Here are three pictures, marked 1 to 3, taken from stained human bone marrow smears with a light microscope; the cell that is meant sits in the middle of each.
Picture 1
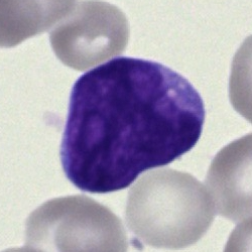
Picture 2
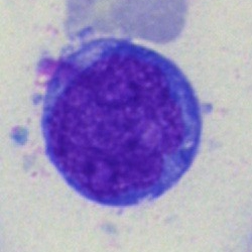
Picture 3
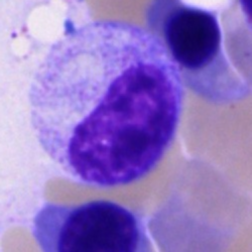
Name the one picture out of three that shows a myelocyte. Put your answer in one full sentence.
Picture 3 is the one that shows the myelocyte.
